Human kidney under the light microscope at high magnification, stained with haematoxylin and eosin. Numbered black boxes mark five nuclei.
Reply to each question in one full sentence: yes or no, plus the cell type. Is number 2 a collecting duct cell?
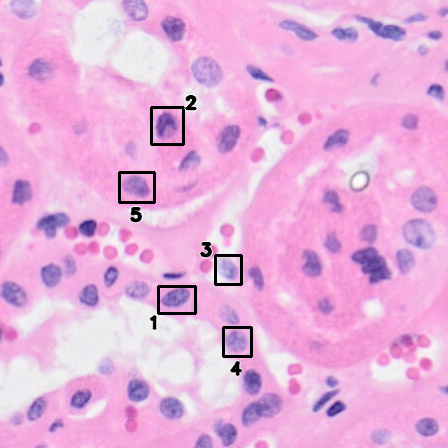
No, it is a proximal tubule cell, not a collecting duct cell, that number 2 marks.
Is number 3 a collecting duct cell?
No, the cell referred to as 3 is an endothelial cell, not a collecting duct cell.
